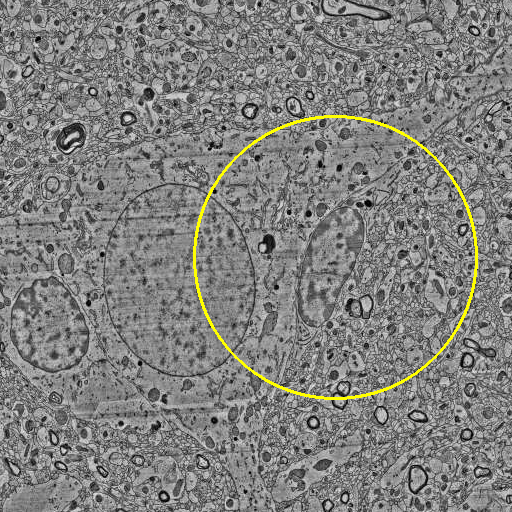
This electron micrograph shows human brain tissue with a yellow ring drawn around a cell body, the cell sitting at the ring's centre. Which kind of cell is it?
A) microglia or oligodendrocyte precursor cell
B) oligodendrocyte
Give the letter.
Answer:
A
